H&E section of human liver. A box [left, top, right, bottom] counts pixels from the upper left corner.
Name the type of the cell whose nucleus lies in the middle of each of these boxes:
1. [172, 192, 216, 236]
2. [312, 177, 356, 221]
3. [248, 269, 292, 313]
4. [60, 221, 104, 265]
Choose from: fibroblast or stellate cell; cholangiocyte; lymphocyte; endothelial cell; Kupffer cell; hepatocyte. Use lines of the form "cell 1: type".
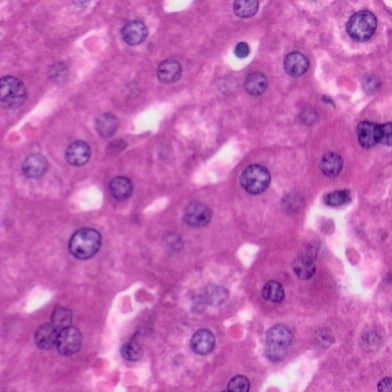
cell 1: hepatocyte
cell 2: Kupffer cell
cell 3: hepatocyte
cell 4: hepatocyte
